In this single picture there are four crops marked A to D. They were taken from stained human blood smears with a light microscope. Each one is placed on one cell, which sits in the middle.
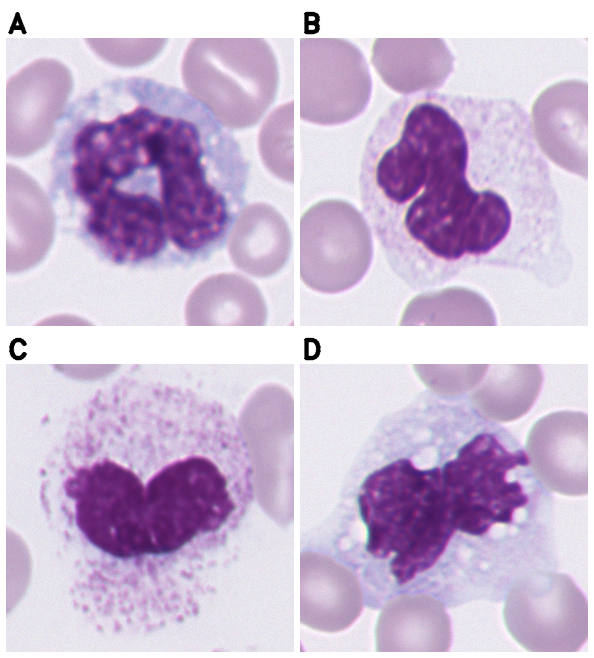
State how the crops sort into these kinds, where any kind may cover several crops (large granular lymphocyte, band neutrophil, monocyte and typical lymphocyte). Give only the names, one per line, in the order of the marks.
monocyte
band neutrophil
band neutrophil
monocyte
